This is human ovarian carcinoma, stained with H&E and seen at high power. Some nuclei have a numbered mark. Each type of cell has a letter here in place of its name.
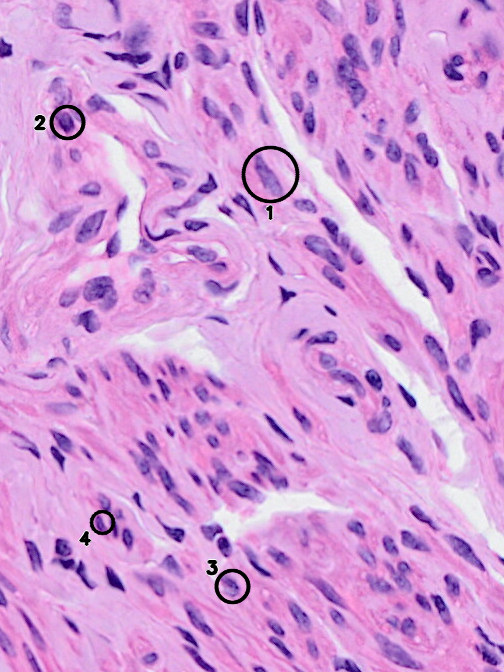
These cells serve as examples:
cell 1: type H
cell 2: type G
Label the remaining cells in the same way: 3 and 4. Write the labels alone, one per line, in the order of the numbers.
type H
type H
